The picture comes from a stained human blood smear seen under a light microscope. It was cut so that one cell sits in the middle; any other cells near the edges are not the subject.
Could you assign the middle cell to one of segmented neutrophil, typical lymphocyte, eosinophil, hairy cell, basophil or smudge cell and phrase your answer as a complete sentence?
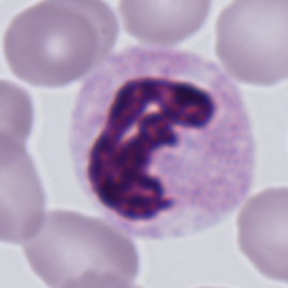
For this crop, the central cell is a segmented neutrophil.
